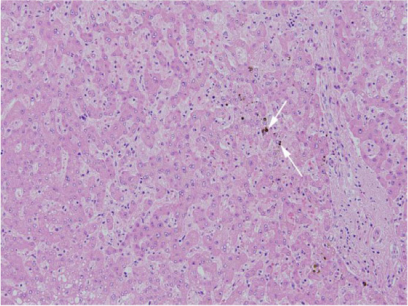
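Liver parenchyma with plates of hepatocytes separated by widened, pale sinusoidal spaces across the whole field. Hepatocytes have pink, finely granular cytoplasm and small round dark nuclei; the cords appear thin and loosely spaced. At the right edge runs a band of paler pink fibrous connective tissue with elongated nuclei, likely part of a portal or septal area. No tumour tissue is seen in the field.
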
